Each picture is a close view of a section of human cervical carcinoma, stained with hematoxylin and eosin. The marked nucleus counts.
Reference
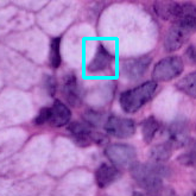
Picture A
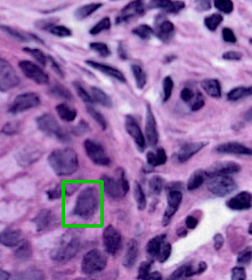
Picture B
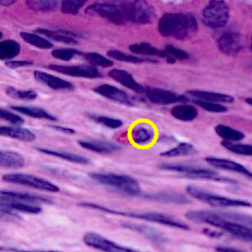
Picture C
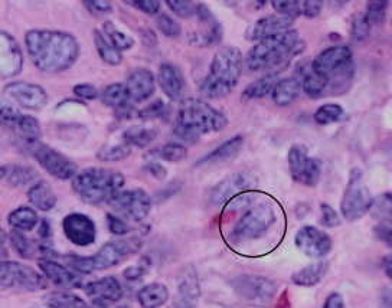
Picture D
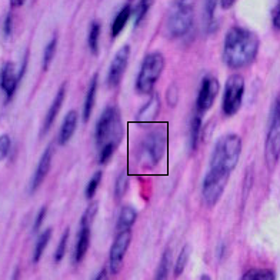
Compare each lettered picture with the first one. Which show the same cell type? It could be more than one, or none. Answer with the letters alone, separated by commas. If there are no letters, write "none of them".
A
